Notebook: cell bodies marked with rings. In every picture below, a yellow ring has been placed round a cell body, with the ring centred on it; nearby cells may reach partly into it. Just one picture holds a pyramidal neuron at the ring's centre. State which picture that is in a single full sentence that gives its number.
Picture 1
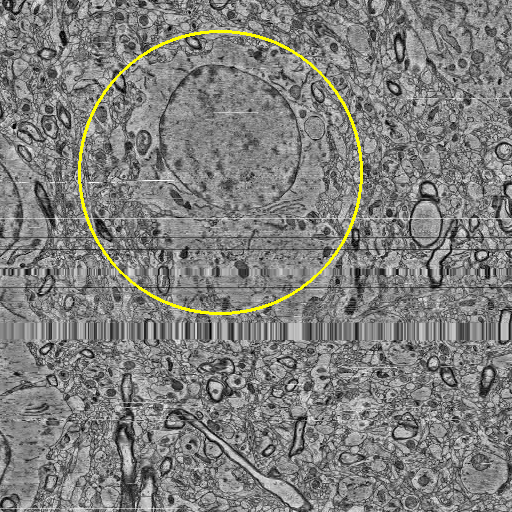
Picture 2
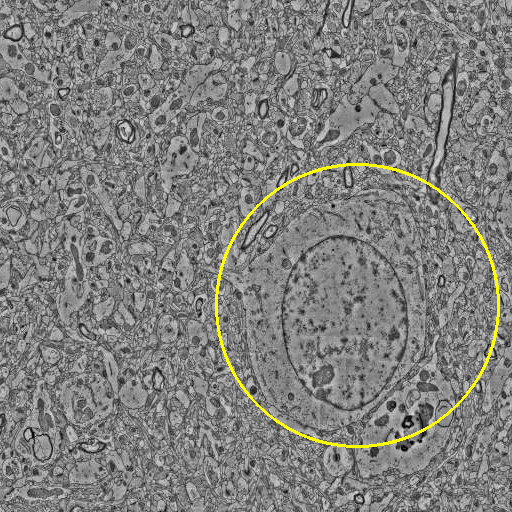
It is picture 2 whose ring has the wanted cell right at its centre.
